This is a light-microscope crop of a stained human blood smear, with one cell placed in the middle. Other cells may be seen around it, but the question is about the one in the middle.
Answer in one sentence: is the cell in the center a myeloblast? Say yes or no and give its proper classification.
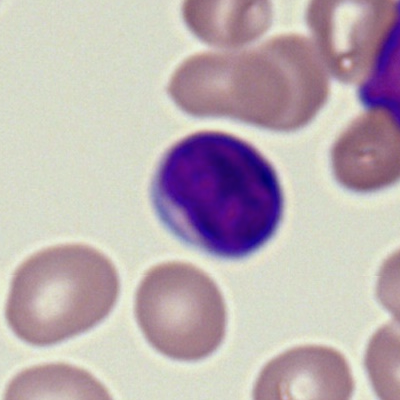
No, the label for the central cell is a lymphocyte, not a myeloblast.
